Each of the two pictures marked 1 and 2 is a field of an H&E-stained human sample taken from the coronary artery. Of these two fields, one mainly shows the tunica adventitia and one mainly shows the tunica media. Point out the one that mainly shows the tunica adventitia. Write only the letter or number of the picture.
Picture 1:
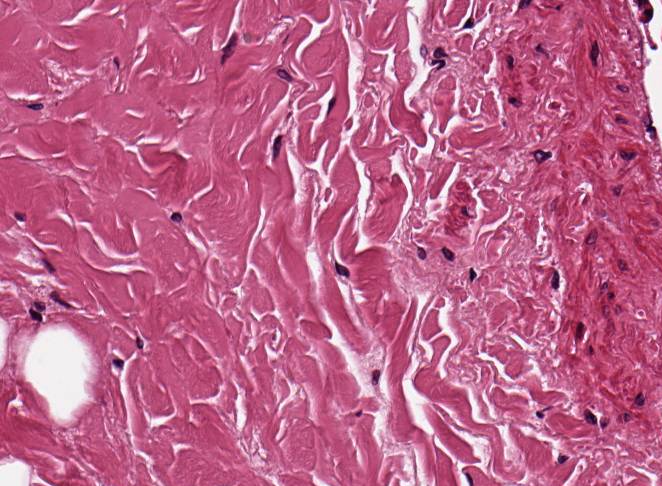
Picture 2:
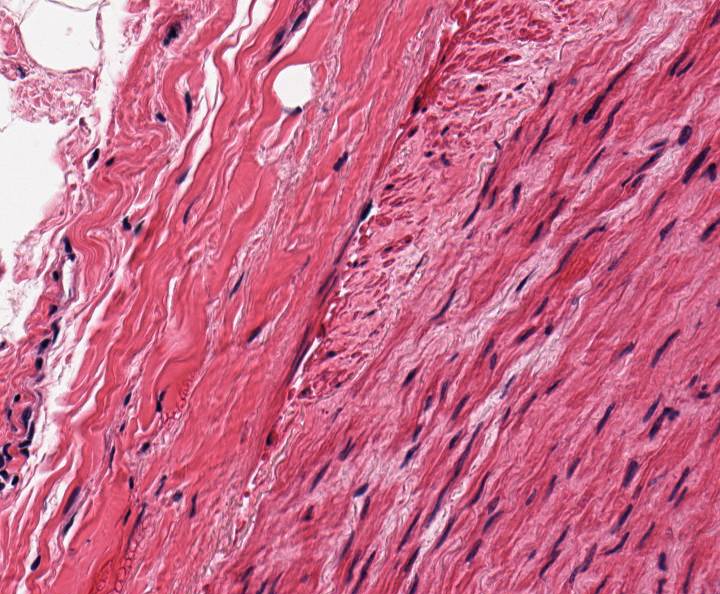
1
